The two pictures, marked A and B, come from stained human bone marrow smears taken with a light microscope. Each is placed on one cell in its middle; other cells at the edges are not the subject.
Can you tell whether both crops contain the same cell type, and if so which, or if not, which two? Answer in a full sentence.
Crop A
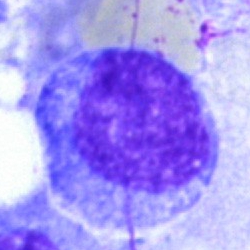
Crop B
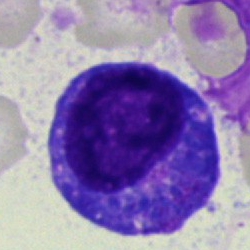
Yes, the two central cells, one per crop, are promyelocytes.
